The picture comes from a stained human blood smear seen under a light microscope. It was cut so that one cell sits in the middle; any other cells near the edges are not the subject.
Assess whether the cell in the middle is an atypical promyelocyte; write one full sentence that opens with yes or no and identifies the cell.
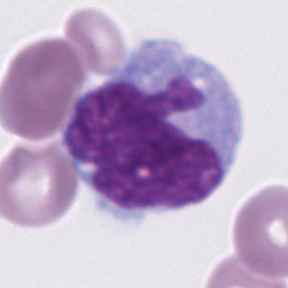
No, the cell in the middle is categorised as a monocyte, not an atypical promyelocyte.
